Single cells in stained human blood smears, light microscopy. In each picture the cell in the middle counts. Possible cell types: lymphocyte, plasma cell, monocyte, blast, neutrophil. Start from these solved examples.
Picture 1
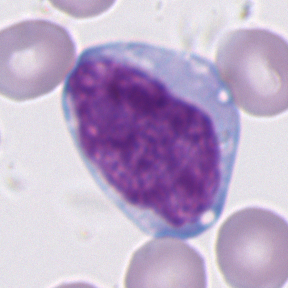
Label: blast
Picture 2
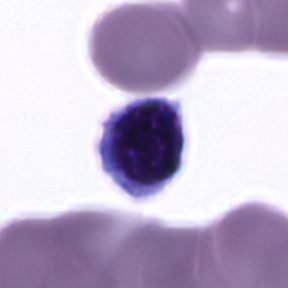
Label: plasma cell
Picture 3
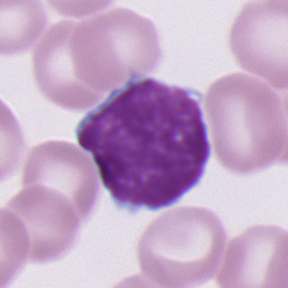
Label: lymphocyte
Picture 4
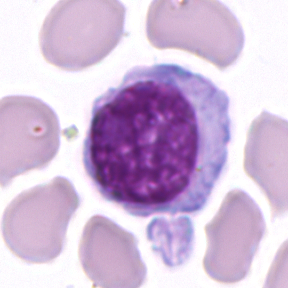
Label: plasma cell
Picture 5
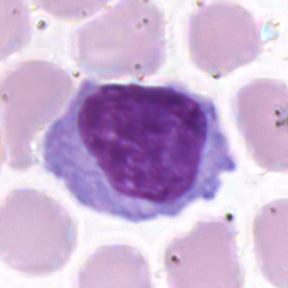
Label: plasma cell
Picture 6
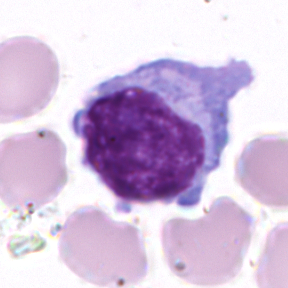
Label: plasma cell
